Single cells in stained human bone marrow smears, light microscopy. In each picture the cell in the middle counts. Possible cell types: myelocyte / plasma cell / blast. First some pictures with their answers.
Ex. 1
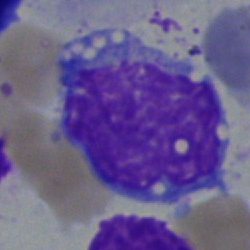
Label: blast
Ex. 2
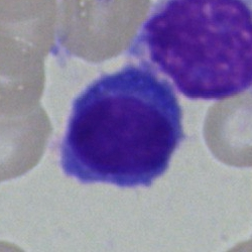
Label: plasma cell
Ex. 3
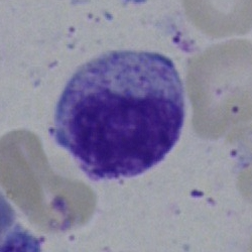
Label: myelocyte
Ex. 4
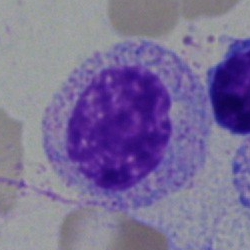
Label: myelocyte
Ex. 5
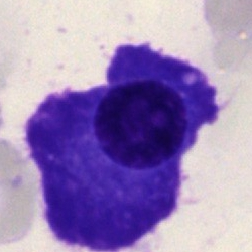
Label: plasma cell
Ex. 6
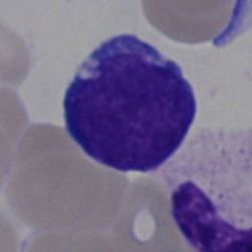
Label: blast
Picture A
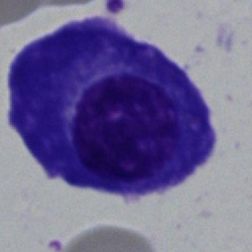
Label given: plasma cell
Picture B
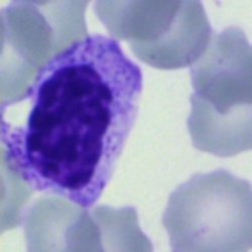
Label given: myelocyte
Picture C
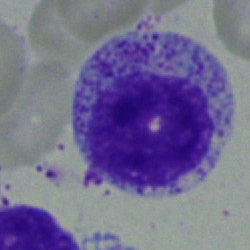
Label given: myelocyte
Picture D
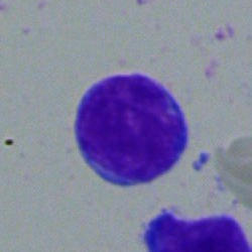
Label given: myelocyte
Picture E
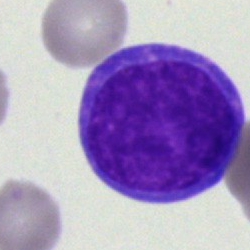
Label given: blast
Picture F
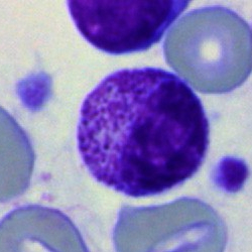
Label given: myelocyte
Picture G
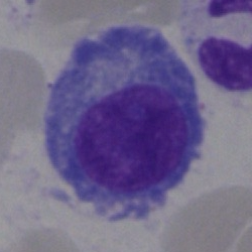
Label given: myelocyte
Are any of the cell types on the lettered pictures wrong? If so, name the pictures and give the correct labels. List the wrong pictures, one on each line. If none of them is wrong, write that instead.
D is labelled myelocyte; correct label: blast
G is labelled myelocyte; correct label: plasma cell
